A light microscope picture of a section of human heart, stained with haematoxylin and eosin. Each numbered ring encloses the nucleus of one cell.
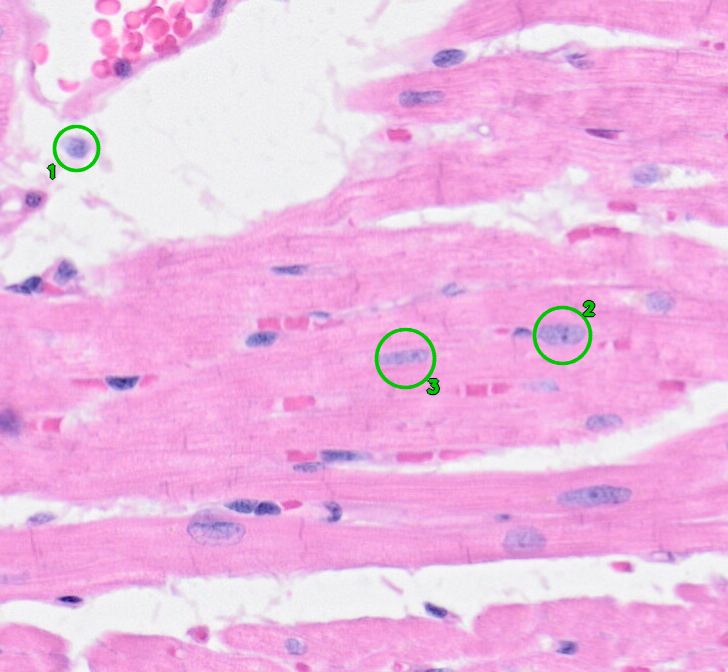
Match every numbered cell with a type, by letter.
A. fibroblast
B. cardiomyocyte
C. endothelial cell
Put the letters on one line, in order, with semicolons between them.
A; B; B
